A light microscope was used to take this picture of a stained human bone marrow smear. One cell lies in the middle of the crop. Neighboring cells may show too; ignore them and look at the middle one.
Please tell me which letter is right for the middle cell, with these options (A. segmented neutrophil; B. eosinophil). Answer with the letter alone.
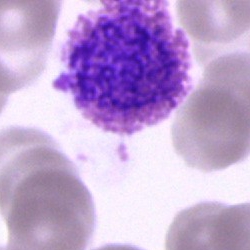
B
